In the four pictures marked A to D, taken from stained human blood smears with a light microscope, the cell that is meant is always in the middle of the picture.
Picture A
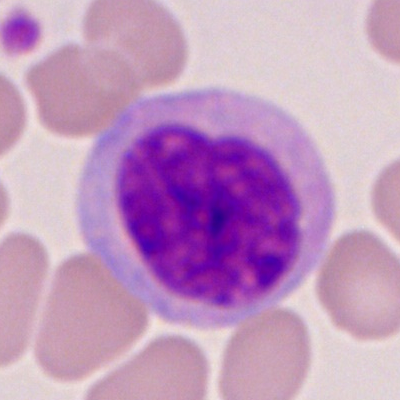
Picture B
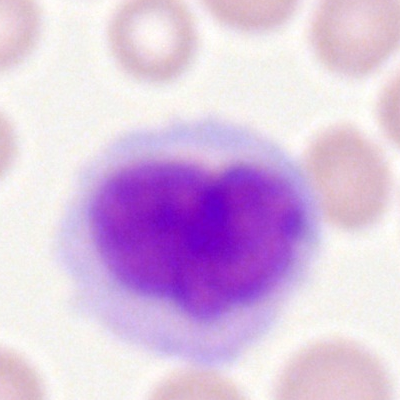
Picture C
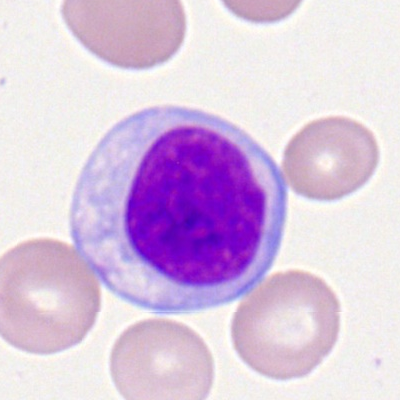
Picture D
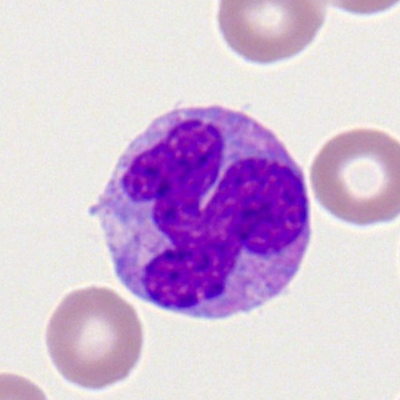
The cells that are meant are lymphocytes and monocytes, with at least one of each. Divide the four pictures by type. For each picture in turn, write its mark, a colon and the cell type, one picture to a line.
A: monocyte
B: monocyte
C: lymphocyte
D: monocyte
